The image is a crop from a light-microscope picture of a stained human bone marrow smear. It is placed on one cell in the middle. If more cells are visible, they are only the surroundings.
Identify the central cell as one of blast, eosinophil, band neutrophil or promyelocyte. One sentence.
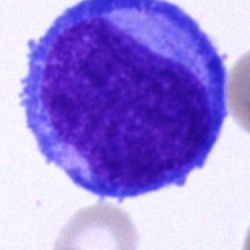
In the middle of this smear crop is a blast.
